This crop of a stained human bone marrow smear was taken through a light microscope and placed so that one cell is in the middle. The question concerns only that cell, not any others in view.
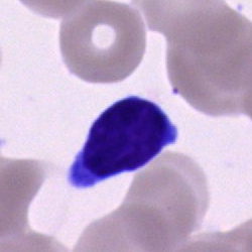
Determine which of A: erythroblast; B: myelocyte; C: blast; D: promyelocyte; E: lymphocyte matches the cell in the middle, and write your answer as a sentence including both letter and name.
The cell at the centre, correctly named in option E, is a lymphocyte.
